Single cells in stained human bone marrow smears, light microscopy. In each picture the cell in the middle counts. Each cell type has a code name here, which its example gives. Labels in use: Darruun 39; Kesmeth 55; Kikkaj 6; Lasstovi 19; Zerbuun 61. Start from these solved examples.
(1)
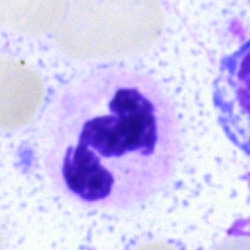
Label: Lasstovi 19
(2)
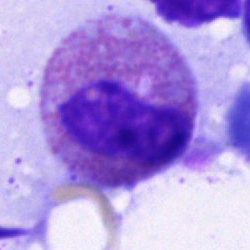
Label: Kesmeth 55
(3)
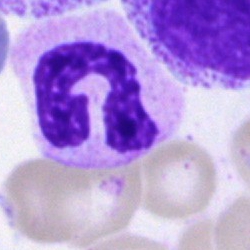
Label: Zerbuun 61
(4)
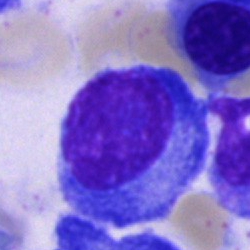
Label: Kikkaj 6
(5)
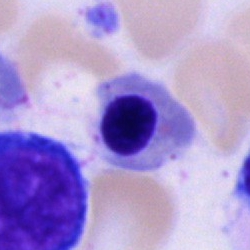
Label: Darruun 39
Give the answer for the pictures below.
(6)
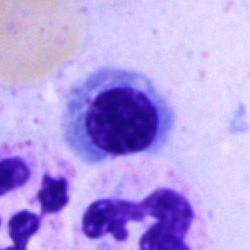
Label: Darruun 39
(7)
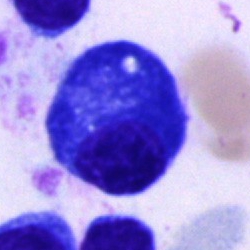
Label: Kikkaj 6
